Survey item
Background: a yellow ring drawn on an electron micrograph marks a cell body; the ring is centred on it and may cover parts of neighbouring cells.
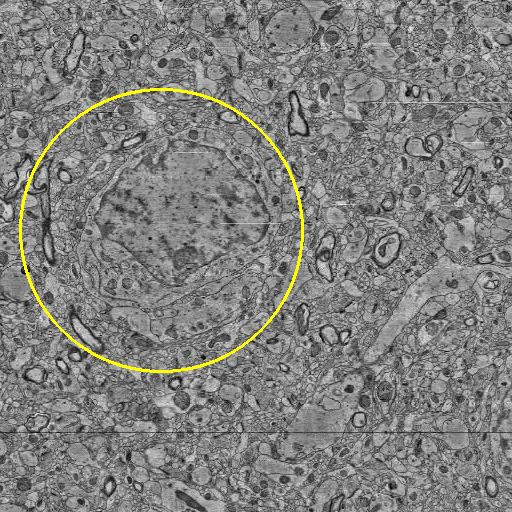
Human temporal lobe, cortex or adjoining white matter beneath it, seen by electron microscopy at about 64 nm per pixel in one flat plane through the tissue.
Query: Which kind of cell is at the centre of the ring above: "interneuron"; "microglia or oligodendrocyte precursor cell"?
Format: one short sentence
The cell in the middle of the ring is an interneuron.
